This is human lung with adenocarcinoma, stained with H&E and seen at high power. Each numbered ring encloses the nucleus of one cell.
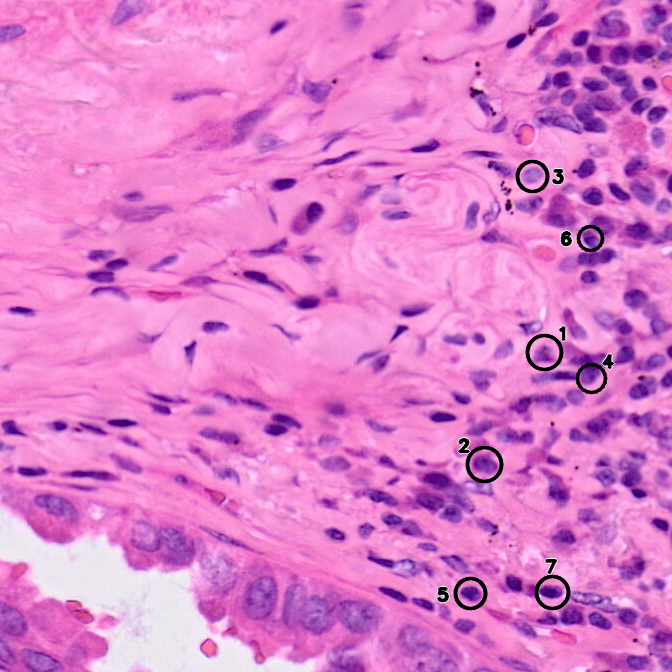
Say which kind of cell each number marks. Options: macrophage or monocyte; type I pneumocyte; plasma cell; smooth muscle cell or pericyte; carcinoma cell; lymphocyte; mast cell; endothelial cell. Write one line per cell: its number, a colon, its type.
1: plasma cell
2: plasma cell
3: mast cell
4: lymphocyte
5: lymphocyte
6: lymphocyte
7: lymphocyte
